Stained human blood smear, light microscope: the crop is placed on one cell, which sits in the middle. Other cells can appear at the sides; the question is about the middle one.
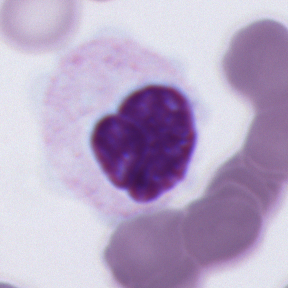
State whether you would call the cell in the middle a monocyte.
no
